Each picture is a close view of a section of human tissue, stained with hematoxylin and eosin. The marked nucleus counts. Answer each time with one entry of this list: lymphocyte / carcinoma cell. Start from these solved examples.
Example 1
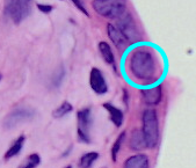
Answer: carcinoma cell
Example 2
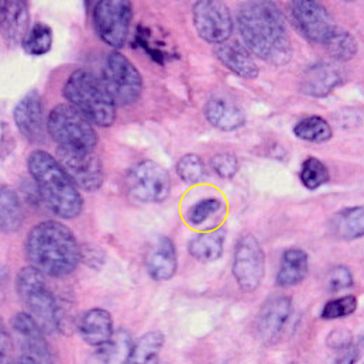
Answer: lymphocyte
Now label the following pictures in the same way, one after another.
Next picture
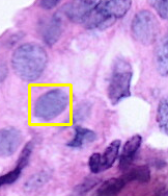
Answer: carcinoma cell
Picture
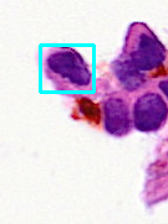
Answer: carcinoma cell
